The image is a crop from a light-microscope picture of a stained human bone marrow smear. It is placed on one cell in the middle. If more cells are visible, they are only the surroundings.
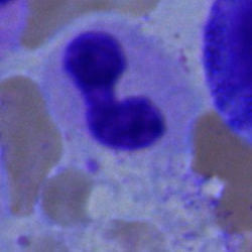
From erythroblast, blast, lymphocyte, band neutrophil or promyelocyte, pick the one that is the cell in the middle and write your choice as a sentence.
Of the cells in this crop, the central one is a band neutrophil.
